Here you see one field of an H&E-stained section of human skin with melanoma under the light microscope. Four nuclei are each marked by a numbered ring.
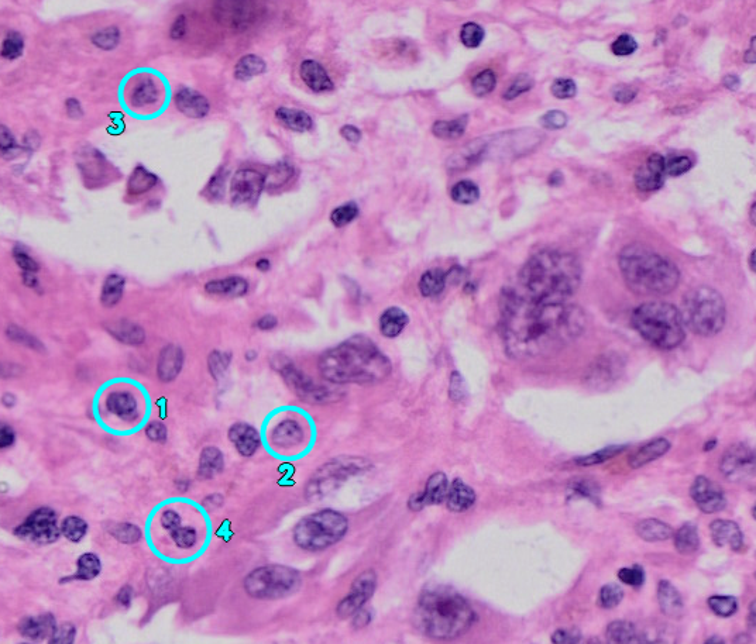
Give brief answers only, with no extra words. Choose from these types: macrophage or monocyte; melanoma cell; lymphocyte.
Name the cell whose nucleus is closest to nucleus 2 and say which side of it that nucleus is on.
a lymphocyte to the left of nucleus 2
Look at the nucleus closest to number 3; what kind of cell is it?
macrophage or monocyte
